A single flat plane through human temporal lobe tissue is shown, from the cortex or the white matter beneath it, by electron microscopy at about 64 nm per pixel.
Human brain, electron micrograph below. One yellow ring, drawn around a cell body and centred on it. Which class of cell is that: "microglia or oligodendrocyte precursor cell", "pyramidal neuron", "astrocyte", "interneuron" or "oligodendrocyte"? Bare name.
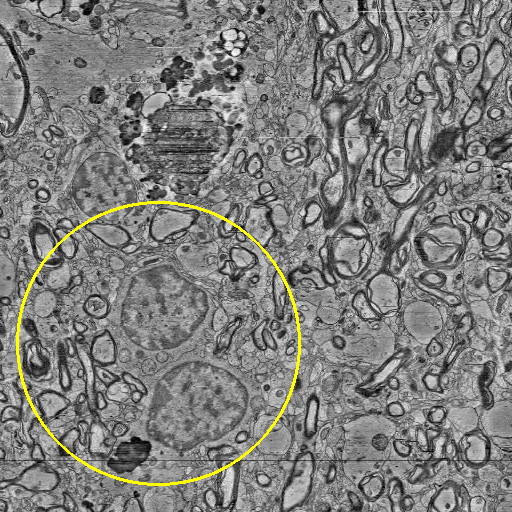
oligodendrocyte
